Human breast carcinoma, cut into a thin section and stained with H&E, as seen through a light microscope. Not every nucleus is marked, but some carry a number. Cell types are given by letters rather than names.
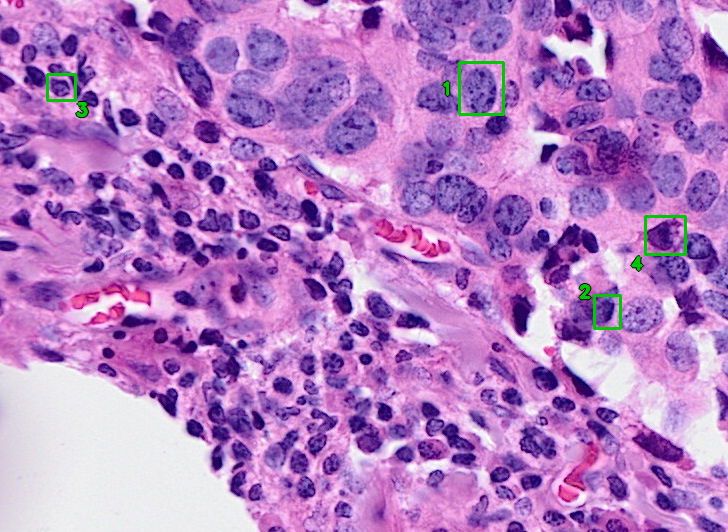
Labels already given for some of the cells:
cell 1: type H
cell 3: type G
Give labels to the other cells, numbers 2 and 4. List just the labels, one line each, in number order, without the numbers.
type H
type H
